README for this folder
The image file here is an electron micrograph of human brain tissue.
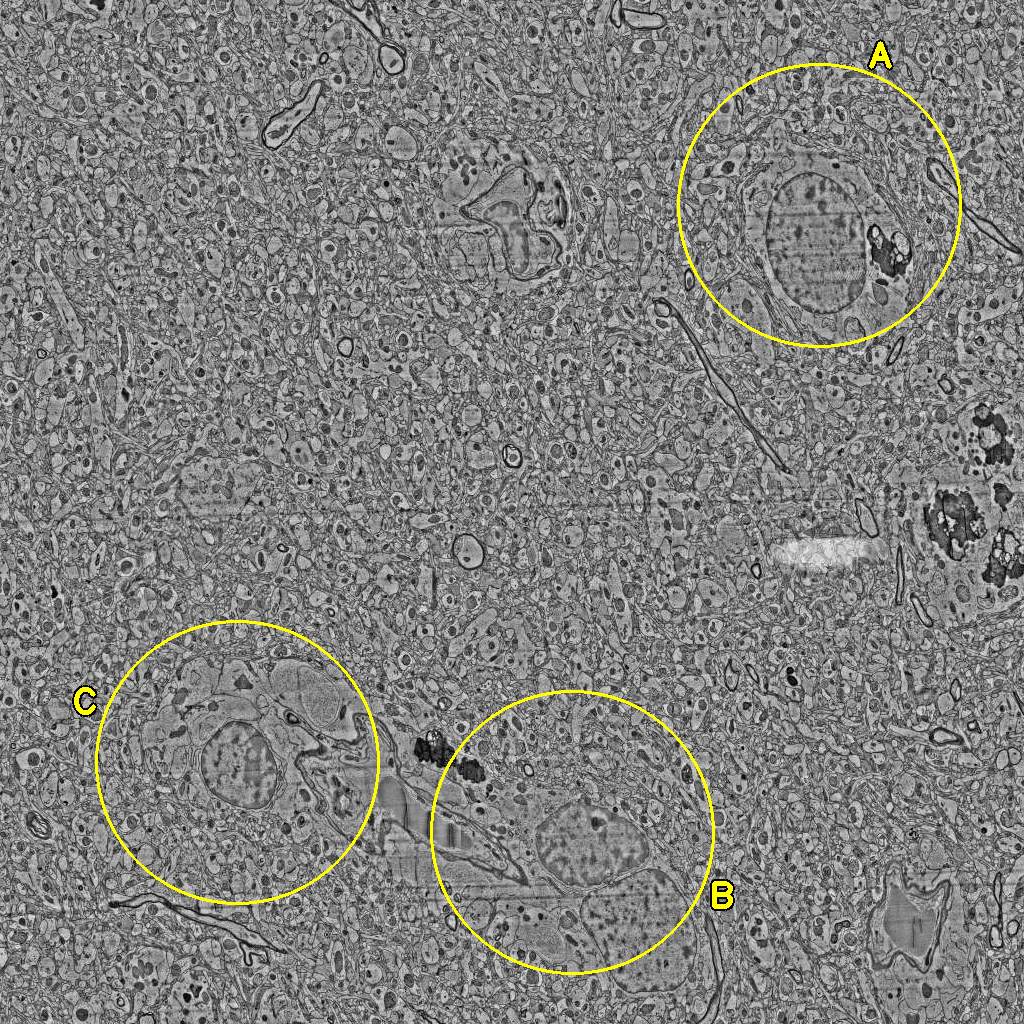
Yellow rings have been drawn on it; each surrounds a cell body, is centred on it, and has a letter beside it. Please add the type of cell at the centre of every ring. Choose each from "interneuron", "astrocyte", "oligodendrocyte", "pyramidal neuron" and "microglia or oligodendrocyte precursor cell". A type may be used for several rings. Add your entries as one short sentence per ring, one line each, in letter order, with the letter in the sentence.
Ring A marks the cell body of an astrocyte.
Ring B marks the cell body of an oligodendrocyte.
Ring C marks the cell body of a microglial cell or oligodendrocyte precursor cell.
